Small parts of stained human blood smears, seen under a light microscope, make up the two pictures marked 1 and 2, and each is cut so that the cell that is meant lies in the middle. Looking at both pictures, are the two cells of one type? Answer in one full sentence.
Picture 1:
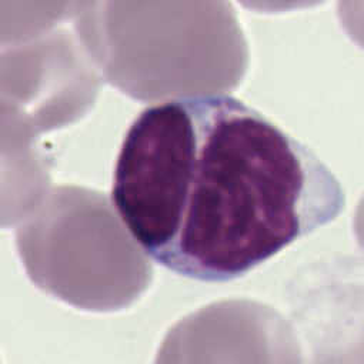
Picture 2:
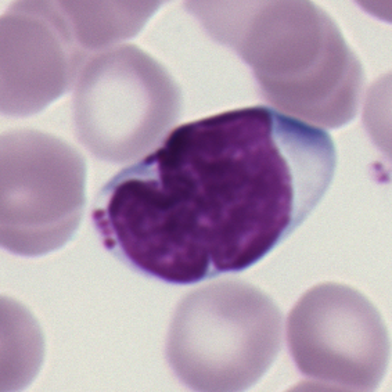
Yes, the two pictures both show large granular lymphocytes.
